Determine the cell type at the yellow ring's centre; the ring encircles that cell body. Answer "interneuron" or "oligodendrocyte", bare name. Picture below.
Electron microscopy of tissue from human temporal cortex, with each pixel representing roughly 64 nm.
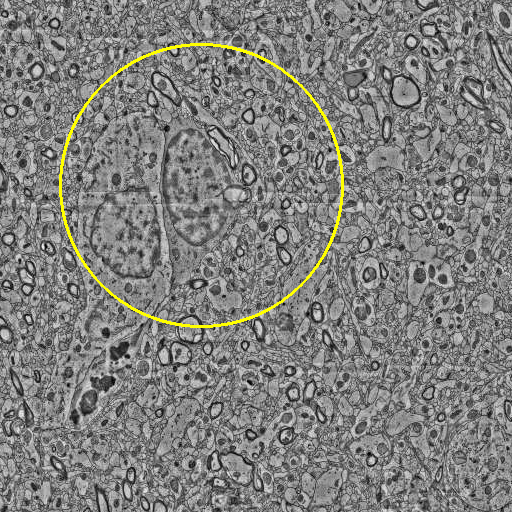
oligodendrocyte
